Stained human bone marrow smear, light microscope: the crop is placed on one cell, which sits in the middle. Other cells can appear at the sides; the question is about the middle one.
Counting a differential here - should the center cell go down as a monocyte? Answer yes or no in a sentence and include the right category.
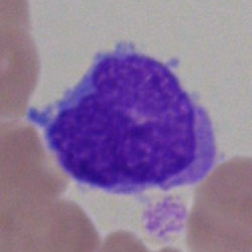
Yes, the centered cell in this field is a monocyte.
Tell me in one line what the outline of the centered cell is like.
Along its border, the cell is uneven, whether by ragged stretches or by projections.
